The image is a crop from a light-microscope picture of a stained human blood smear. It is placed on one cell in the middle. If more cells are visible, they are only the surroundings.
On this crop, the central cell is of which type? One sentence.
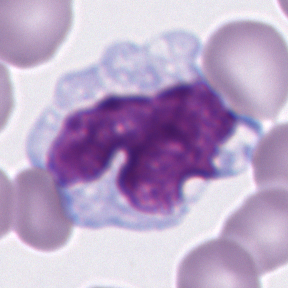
In the center of this field lies a monocyte.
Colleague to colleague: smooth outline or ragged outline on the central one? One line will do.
The boundary of the cell runs irregularly, ragged in parts or drawn into projections.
